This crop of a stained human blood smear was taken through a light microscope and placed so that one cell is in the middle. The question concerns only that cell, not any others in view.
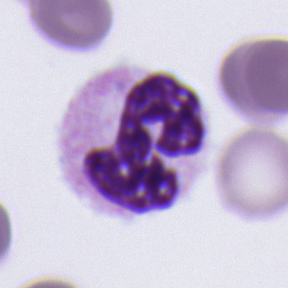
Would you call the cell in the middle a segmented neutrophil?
yes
